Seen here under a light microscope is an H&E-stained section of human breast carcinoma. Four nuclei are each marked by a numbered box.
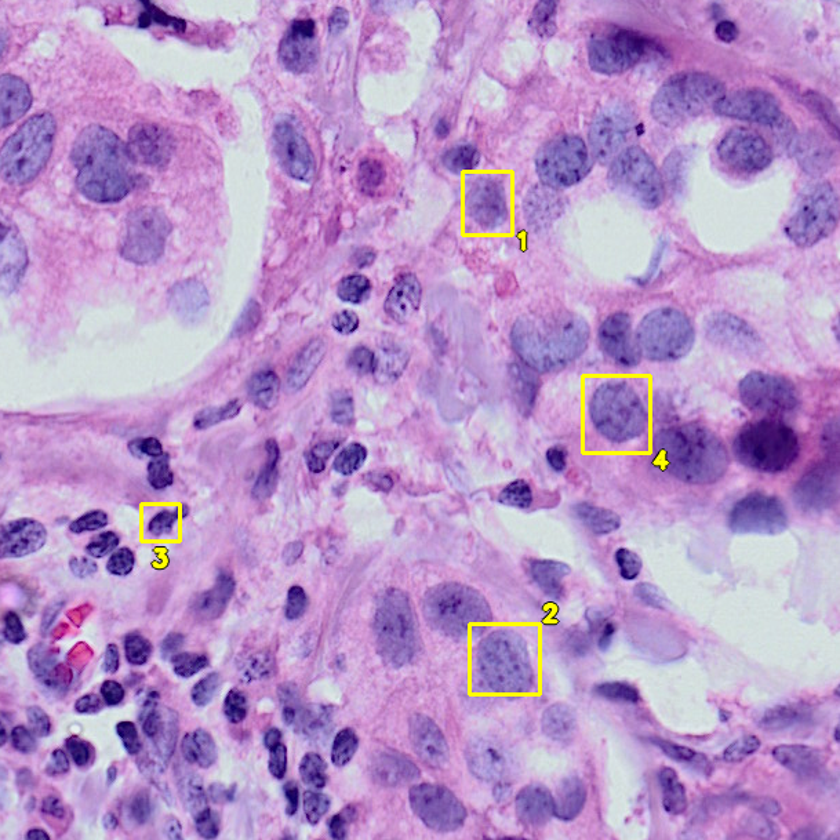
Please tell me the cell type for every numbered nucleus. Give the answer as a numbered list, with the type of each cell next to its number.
1. carcinoma cell
2. carcinoma cell
3. lymphocyte
4. carcinoma cell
